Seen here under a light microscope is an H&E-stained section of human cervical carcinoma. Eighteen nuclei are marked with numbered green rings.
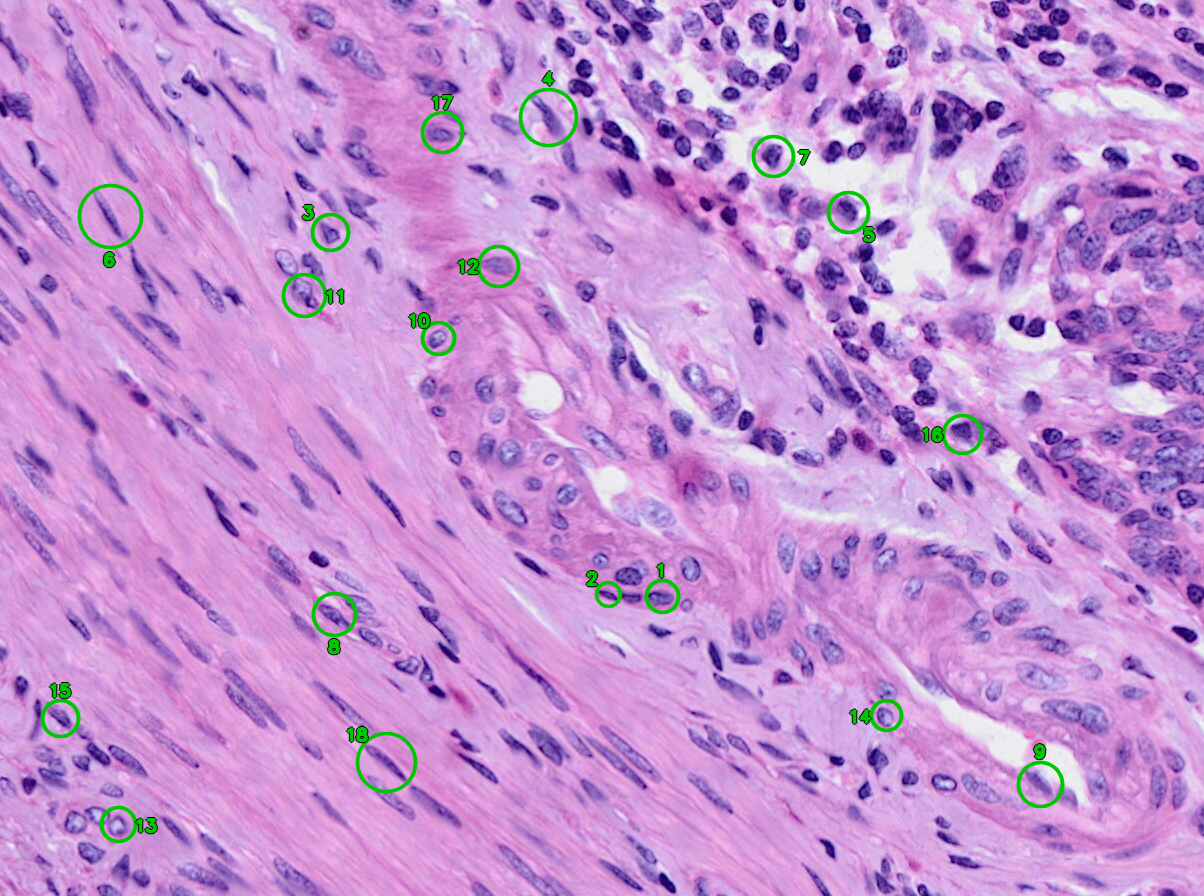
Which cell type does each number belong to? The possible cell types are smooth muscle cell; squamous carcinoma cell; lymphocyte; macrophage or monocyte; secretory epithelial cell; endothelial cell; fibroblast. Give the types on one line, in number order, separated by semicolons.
smooth muscle cell; smooth muscle cell; fibroblast; fibroblast; lymphocyte; fibroblast; lymphocyte; endothelial cell; endothelial cell; smooth muscle cell; endothelial cell; smooth muscle cell; endothelial cell; smooth muscle cell; fibroblast; lymphocyte; smooth muscle cell; fibroblast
